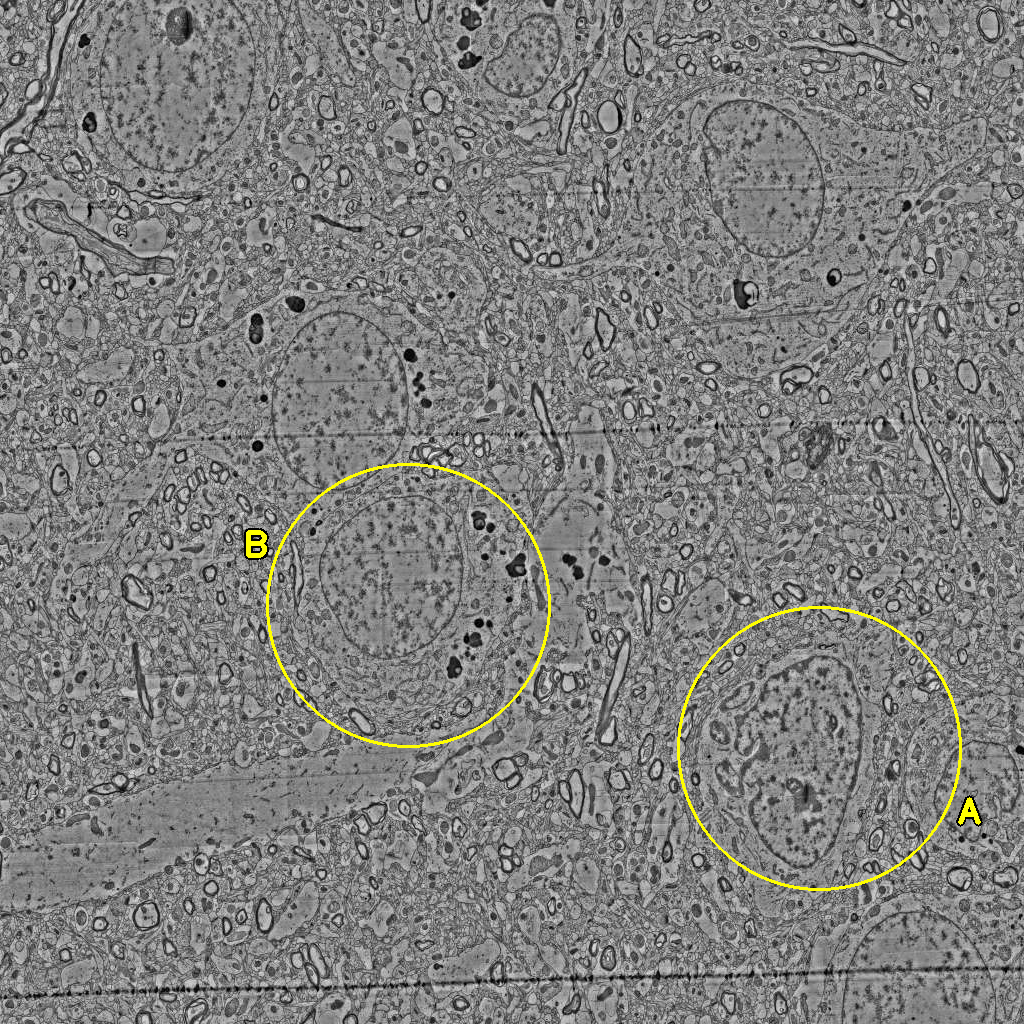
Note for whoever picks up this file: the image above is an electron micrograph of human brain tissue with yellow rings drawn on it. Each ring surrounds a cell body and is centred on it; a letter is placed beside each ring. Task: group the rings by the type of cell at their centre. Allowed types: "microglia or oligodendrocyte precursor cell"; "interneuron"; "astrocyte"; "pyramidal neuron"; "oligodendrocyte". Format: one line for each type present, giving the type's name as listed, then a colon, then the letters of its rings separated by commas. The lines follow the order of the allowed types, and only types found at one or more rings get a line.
microglia or oligodendrocyte precursor cell: A
pyramidal neuron: B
